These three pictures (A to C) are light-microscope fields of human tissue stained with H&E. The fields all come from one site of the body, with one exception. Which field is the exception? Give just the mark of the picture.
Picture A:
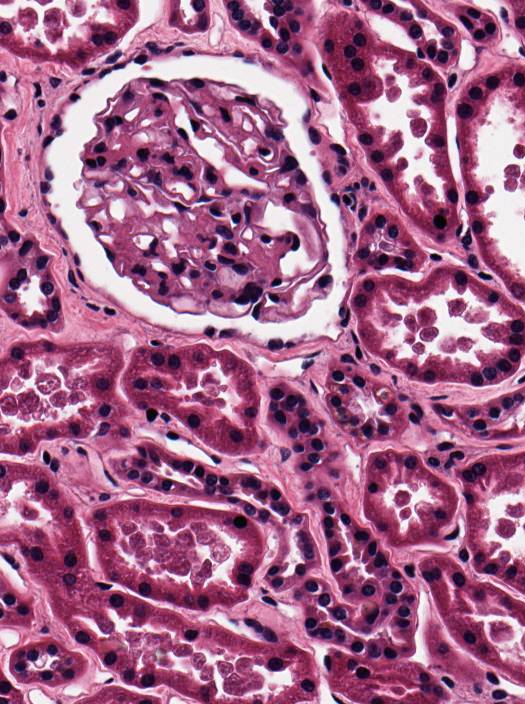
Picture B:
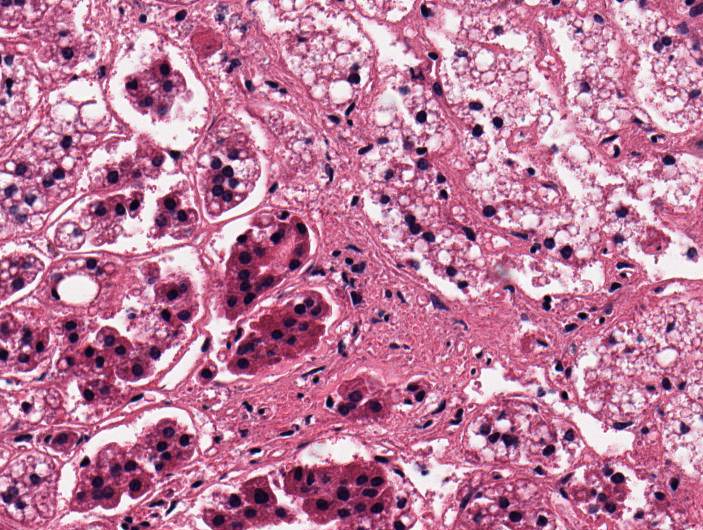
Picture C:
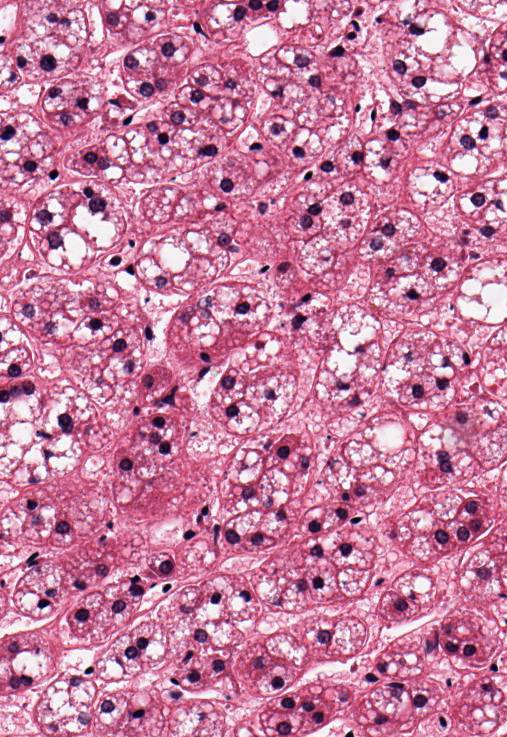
A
